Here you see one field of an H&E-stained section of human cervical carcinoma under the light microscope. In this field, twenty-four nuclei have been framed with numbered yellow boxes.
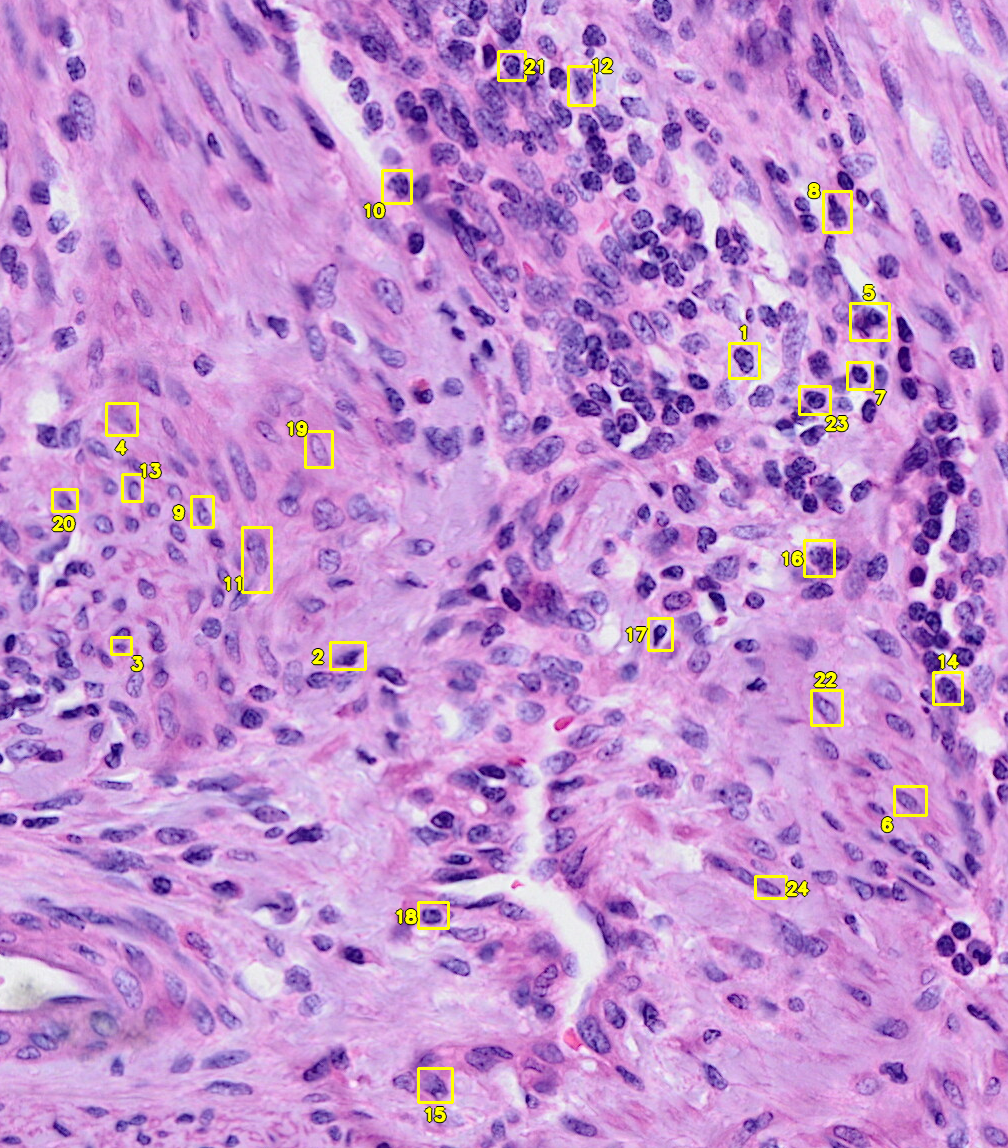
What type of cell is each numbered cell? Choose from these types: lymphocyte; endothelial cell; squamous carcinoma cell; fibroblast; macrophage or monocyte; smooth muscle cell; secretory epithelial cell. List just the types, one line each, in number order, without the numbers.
lymphocyte
lymphocyte
smooth muscle cell
smooth muscle cell
lymphocyte
smooth muscle cell
lymphocyte
lymphocyte
smooth muscle cell
lymphocyte
smooth muscle cell
lymphocyte
smooth muscle cell
lymphocyte
endothelial cell
lymphocyte
lymphocyte
lymphocyte
smooth muscle cell
smooth muscle cell
lymphocyte
smooth muscle cell
lymphocyte
smooth muscle cell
